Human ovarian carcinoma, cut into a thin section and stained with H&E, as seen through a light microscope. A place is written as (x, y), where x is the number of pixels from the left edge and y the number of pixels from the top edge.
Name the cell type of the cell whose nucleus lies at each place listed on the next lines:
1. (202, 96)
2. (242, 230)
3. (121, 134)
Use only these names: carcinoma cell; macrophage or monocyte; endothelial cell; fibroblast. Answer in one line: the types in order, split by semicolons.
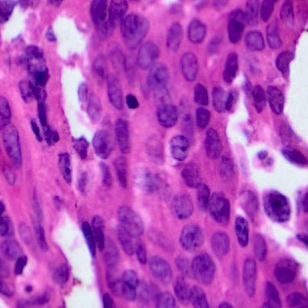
carcinoma cell; macrophage or monocyte; carcinoma cell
